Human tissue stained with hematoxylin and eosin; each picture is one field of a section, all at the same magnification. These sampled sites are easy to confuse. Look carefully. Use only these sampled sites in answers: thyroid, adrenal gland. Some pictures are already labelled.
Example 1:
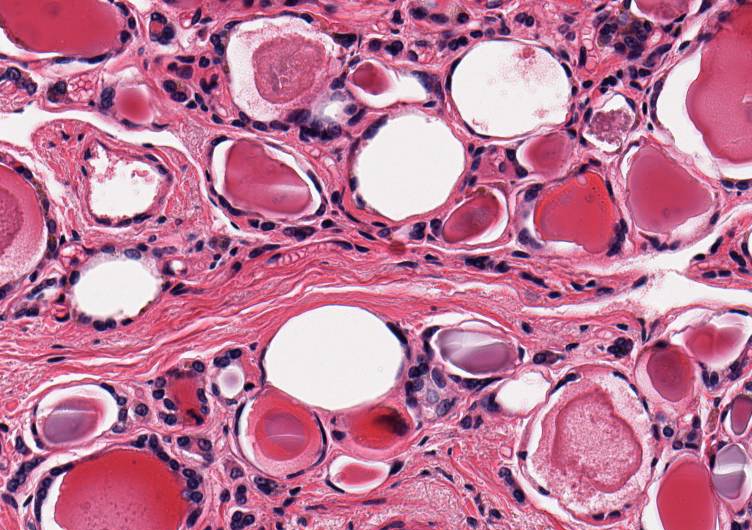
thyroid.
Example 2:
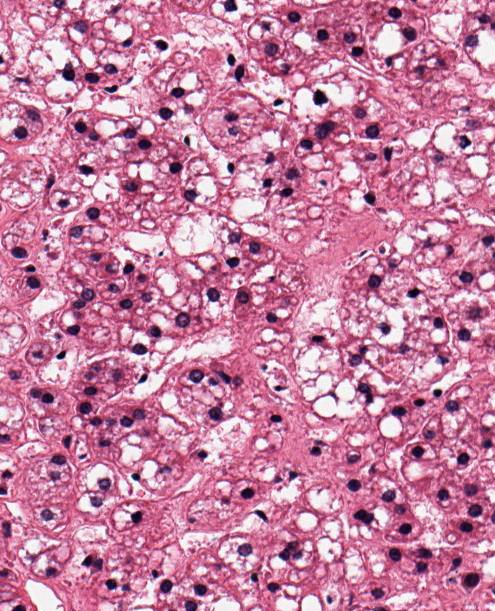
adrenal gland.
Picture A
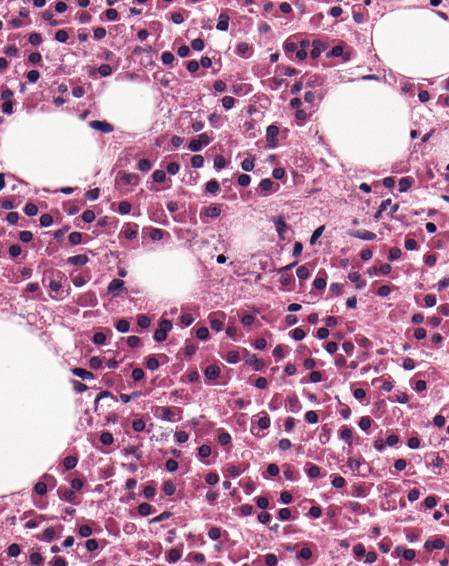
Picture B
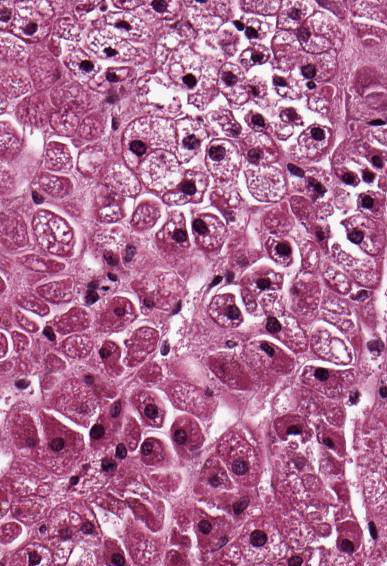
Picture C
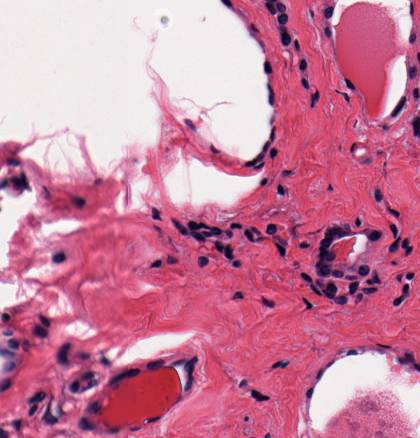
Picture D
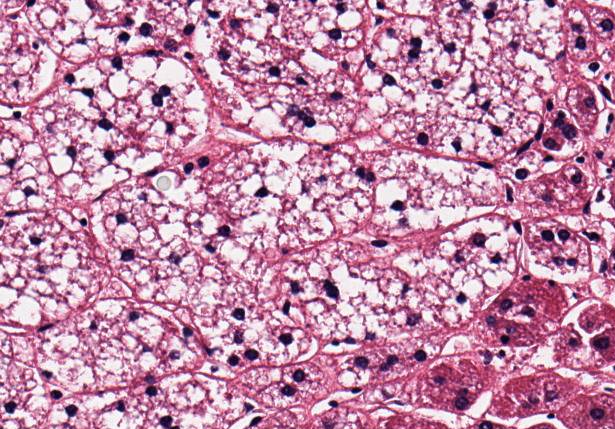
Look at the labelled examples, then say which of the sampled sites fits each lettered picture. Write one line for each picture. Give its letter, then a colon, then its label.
A: adrenal gland.
B: adrenal gland.
C: thyroid.
D: adrenal gland.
